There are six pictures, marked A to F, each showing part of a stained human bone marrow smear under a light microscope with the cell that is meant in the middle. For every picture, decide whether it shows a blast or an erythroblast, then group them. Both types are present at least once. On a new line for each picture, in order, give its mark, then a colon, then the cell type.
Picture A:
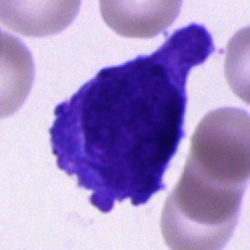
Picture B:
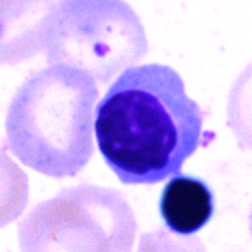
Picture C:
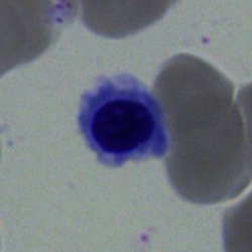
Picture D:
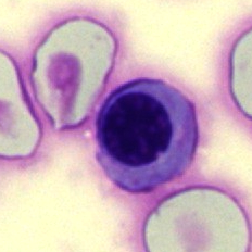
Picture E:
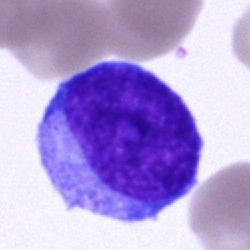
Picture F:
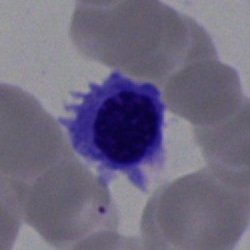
A: blast
B: erythroblast
C: erythroblast
D: erythroblast
E: blast
F: erythroblast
